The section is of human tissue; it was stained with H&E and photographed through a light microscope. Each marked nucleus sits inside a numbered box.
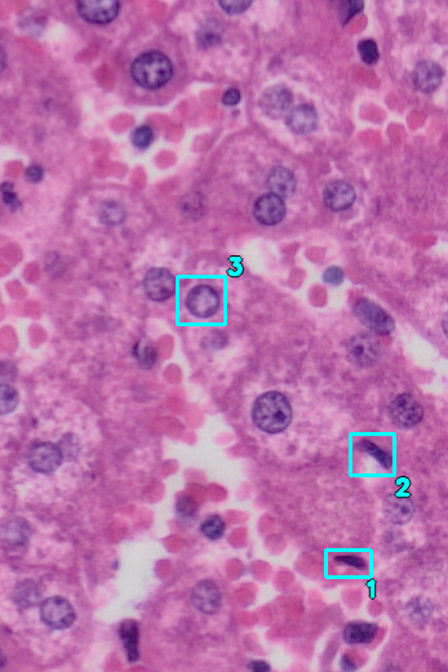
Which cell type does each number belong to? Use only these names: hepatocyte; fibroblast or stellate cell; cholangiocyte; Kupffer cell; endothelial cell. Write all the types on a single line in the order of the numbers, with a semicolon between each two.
fibroblast or stellate cell; endothelial cell; hepatocyte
